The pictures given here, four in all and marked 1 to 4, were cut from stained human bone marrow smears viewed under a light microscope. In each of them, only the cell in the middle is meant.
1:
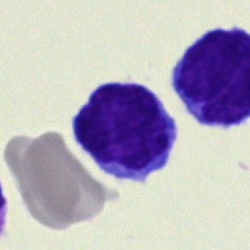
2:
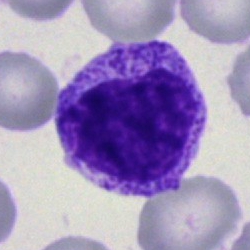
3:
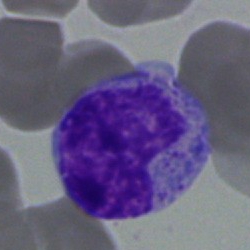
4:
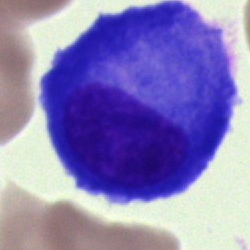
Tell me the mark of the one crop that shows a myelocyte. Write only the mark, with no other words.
2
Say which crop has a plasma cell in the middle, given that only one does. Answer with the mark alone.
4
